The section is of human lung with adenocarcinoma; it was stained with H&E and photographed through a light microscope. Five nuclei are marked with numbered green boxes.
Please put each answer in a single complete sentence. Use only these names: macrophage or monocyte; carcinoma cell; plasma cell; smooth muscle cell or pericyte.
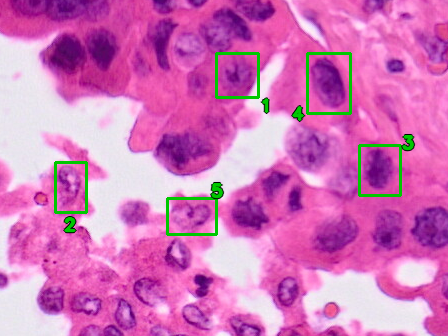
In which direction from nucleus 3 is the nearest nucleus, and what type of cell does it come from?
The closest nucleus belongs to a carcinoma cell and sits to the left of nucleus 3.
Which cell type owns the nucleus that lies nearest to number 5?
The cell nearest to number 5 is a macrophage or monocyte.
